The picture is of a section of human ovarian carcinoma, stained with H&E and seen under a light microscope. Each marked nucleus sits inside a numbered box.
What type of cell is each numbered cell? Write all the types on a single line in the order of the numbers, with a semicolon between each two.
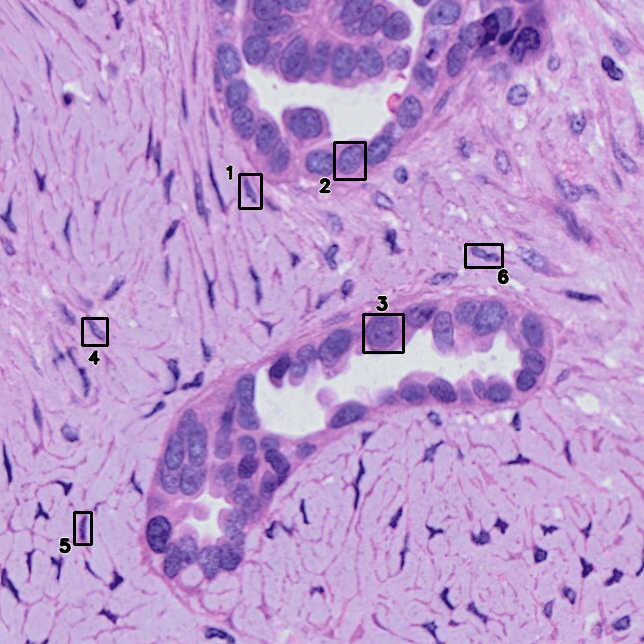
fibroblast; carcinoma cell; carcinoma cell; fibroblast; fibroblast; fibroblast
